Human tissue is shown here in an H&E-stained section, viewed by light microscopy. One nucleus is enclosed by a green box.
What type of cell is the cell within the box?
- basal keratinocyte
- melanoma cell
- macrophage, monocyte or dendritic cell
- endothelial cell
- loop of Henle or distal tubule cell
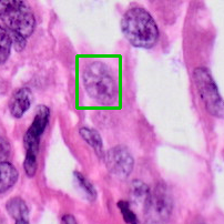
melanoma cell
